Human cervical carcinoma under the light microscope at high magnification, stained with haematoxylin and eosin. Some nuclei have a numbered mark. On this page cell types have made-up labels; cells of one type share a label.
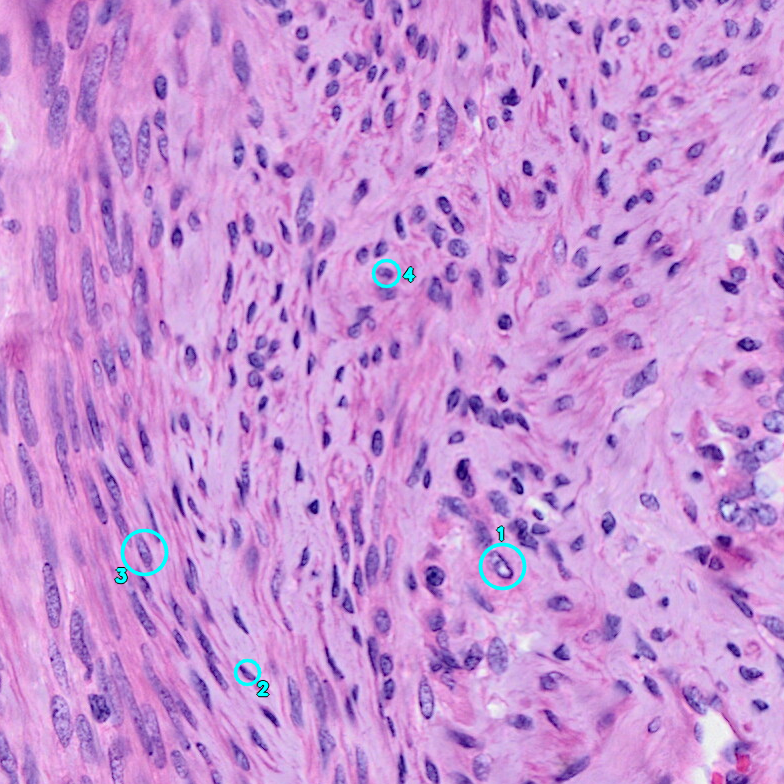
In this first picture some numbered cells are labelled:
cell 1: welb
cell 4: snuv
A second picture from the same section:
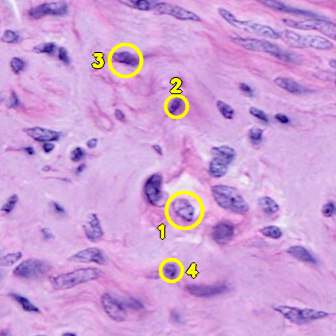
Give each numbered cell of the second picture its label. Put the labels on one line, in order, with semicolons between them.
welb; snuv; snuv; snuv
